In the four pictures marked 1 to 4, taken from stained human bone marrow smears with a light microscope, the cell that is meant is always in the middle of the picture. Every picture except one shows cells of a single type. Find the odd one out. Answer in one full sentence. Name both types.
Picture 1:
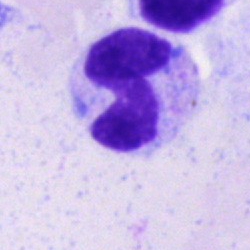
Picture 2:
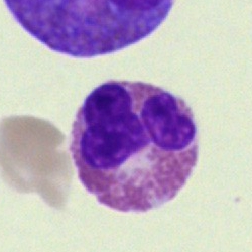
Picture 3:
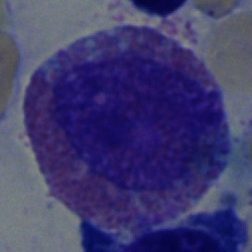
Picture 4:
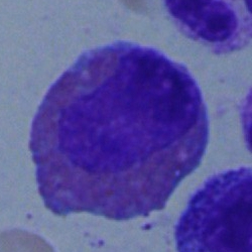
The different one is picture 1; it shows a segmented neutrophil, whereas all the others show eosinophils.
